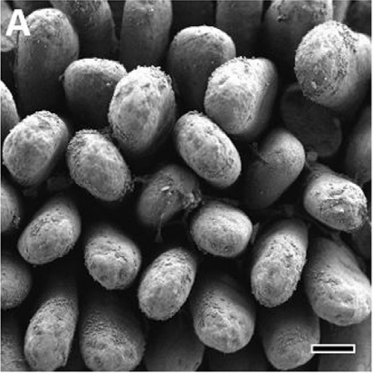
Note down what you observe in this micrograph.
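Intestinal villi of the small intestine seen from above are packed closely together as slender, finger-shaped projections. Each villus has a cylindrical body and a rounded, dome-like tip. The tips carry a finely granular, slightly roughened surface texture. Deeper villi are visible between the foremost ones, giving a dense, evenly spaced field.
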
